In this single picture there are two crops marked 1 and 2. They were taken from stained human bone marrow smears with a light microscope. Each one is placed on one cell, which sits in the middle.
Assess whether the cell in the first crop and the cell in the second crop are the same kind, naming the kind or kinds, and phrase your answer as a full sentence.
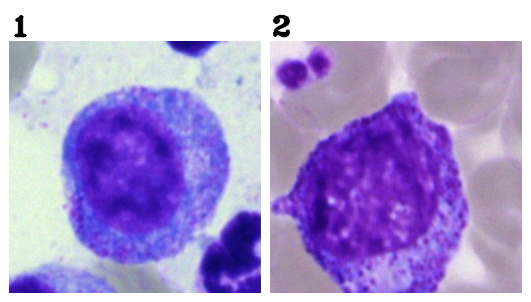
Yes, as an answer for this item, both crops show promyelocytes.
